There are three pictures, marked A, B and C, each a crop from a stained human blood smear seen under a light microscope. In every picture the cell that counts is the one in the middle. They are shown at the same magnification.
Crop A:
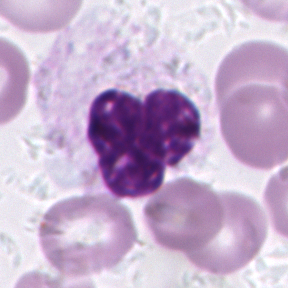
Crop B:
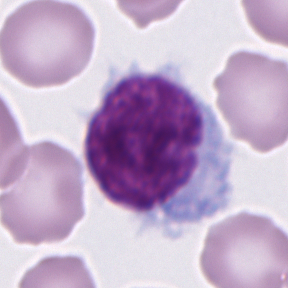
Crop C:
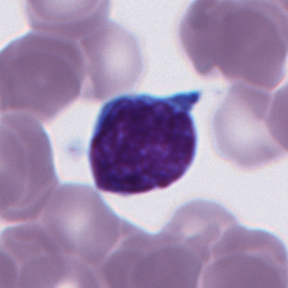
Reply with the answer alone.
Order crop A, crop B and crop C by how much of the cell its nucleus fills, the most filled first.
C, B, A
